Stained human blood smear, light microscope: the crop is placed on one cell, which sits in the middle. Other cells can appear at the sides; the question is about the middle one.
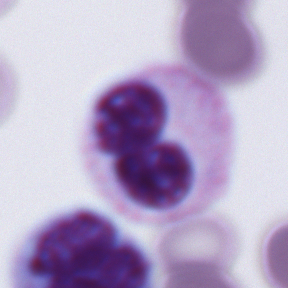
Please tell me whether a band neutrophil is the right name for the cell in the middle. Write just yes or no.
no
